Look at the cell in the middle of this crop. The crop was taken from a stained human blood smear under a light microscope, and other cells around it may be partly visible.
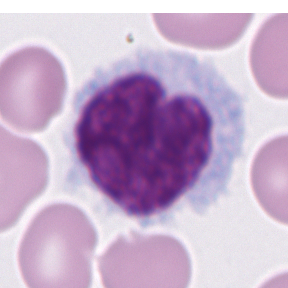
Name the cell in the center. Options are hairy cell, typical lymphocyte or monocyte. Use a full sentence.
The centrally located cell in the crop is a hairy cell.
